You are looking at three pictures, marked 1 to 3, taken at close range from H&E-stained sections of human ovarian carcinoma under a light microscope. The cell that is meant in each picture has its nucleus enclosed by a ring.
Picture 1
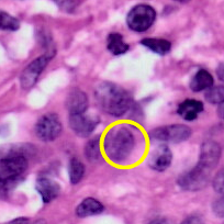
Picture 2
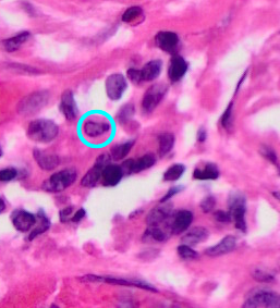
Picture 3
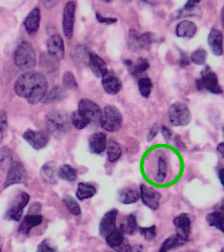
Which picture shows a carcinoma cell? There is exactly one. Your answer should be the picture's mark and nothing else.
1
